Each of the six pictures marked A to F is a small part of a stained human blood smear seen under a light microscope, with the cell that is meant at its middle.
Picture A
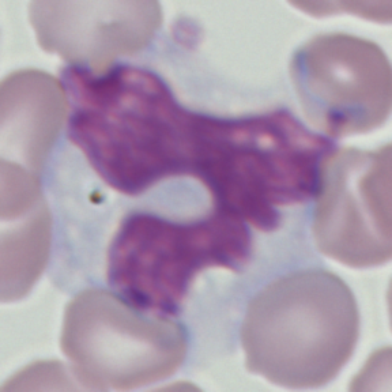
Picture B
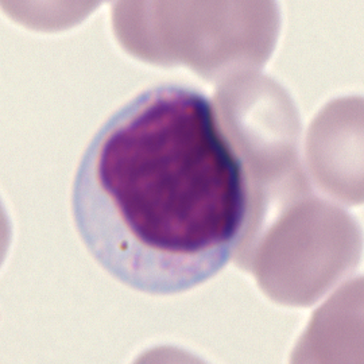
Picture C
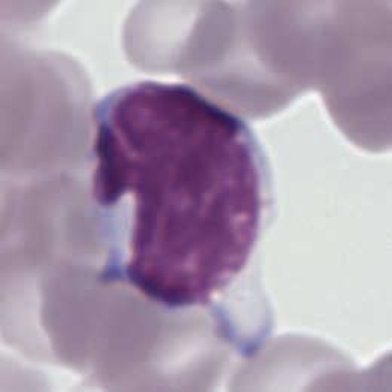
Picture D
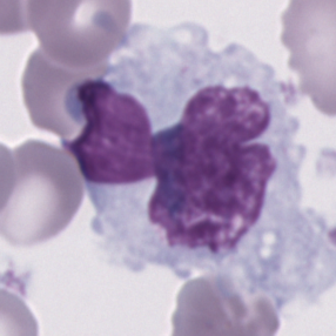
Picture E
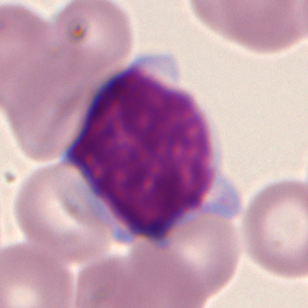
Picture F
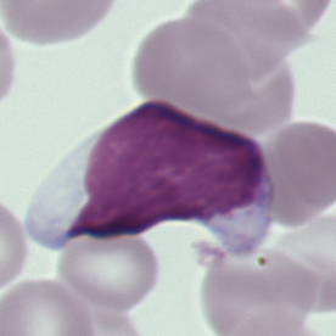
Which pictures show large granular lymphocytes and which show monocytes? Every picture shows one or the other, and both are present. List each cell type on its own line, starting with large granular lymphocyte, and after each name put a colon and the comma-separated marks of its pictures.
large granular lymphocyte: B, C, E, F
monocyte: A, D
